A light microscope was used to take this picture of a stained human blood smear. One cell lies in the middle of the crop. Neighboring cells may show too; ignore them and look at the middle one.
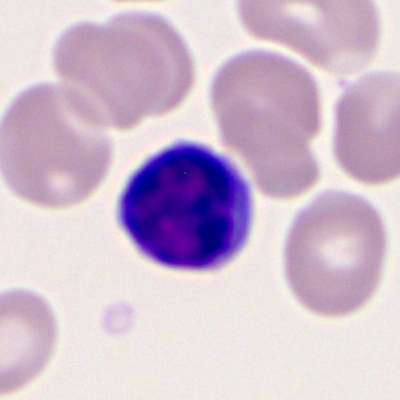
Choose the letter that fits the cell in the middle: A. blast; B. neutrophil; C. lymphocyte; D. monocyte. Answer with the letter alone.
C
